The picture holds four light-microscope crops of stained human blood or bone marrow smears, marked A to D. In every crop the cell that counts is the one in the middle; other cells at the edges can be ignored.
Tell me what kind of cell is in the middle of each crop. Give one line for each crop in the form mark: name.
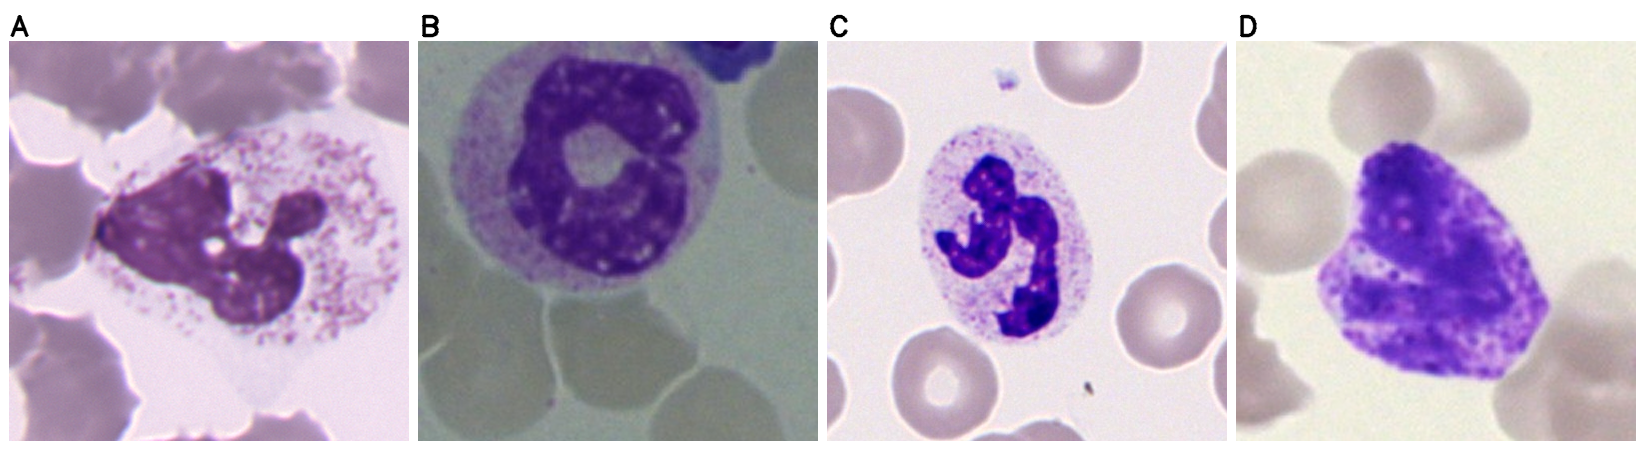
A: segmented neutrophil
B: segmented neutrophil
C: segmented neutrophil
D: basophil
